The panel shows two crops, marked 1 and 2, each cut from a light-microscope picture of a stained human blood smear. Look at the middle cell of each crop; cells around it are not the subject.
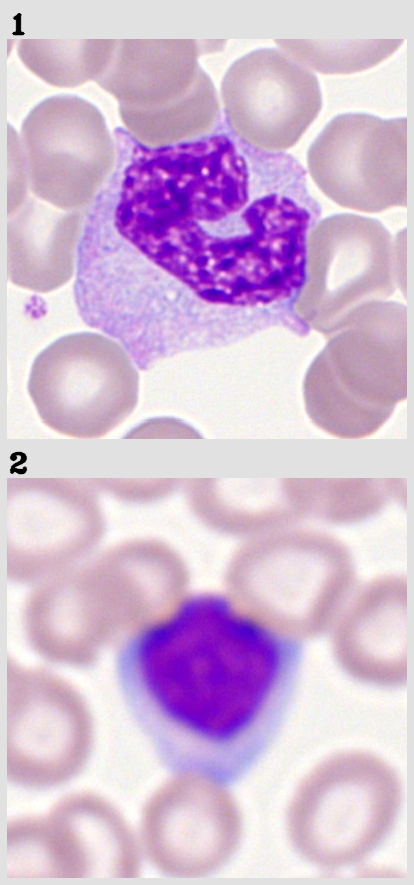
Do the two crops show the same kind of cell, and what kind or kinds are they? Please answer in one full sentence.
No, for crop 1 the cell is a monocyte, and for crop 2 it is a lymphocyte.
